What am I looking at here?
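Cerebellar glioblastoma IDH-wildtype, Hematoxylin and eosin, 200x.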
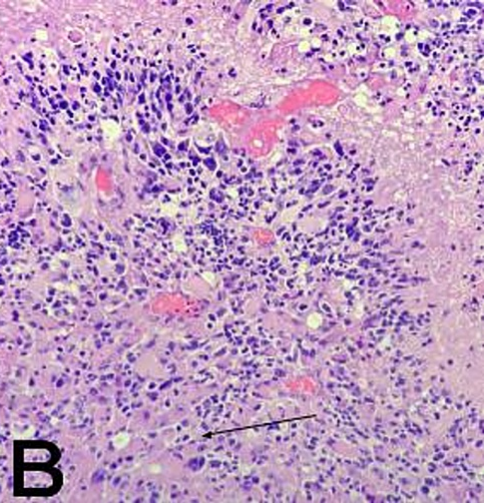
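This is a densely cellular glial tumor made of crowded tumor cells with markedly pleomorphic nuclei. Thin-walled vessels packed with red blood cells run through the tumor. A pale, fibrillary pink background lies between the cells, with scattered small clear vacuoles.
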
